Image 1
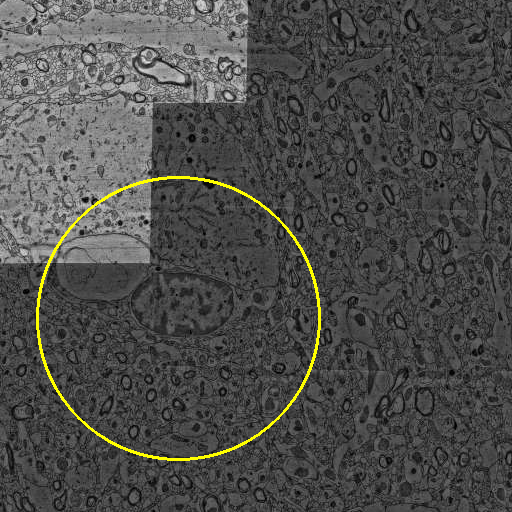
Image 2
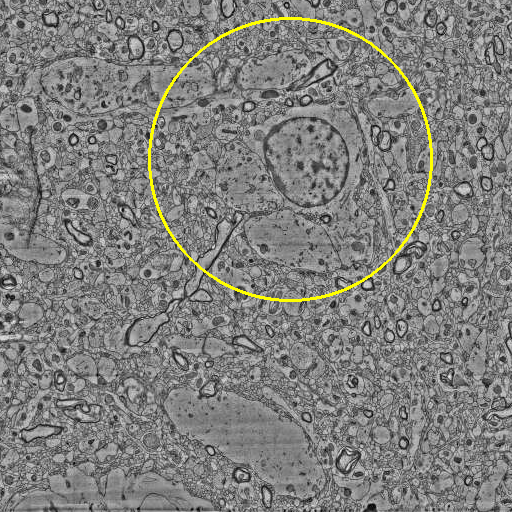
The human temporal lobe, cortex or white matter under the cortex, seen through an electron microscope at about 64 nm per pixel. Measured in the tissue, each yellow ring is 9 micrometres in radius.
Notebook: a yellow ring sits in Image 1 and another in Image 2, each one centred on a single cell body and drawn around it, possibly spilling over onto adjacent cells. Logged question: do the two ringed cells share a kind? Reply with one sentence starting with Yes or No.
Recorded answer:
Yes, both centre cells inside the rings of Image 1 and Image 2 share one kind.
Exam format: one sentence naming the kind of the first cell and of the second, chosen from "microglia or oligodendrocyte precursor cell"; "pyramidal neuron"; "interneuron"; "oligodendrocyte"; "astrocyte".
Each of the two cells is a microglial cell or oligodendrocyte precursor cell.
